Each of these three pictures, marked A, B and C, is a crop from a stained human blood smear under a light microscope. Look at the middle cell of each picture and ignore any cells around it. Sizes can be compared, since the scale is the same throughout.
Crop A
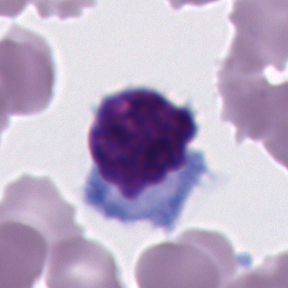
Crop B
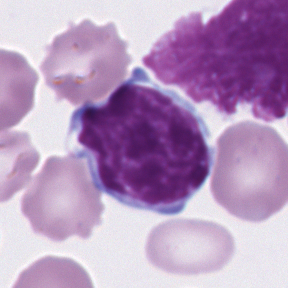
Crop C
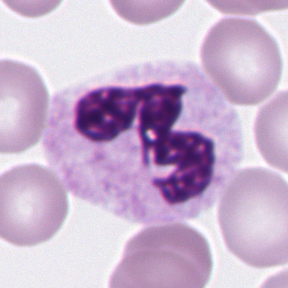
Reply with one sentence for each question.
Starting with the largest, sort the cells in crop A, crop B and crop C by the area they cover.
From the largest down, the order is C, B, A.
